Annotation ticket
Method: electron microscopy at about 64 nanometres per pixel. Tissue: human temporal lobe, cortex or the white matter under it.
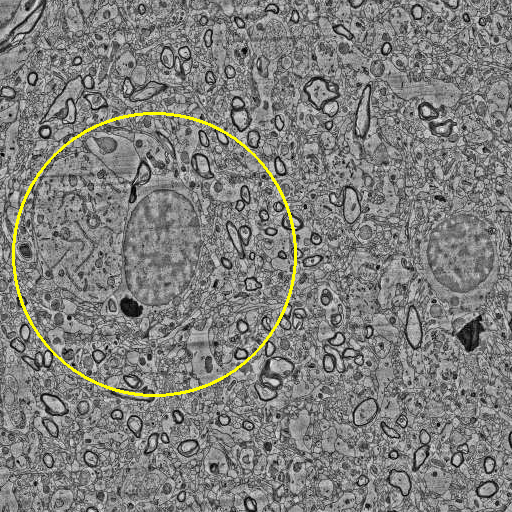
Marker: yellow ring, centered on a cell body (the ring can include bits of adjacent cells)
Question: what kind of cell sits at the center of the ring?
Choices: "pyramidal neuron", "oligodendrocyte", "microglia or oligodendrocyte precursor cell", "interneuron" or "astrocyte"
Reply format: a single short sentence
The ring is centered on an oligodendrocyte.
